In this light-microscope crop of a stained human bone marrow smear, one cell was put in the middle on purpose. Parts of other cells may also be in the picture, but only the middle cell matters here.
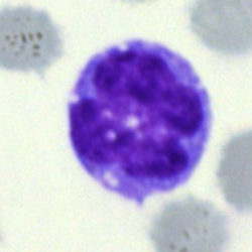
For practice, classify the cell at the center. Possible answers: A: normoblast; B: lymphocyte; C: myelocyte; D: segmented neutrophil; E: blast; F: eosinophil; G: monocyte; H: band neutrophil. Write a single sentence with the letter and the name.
The cell in the centre of the crop is a monocyte, so option G is the correct one.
